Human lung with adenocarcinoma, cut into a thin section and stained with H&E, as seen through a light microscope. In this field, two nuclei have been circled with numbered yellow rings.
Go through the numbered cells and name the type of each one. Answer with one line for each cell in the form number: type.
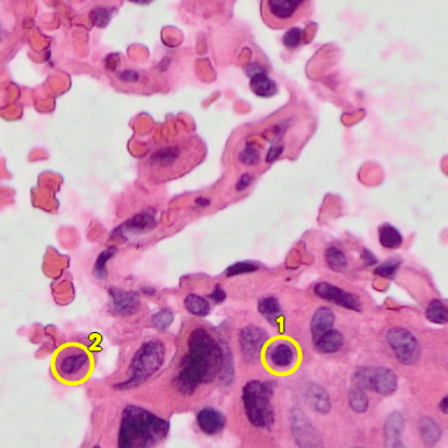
1: lymphocyte
2: macrophage or monocyte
